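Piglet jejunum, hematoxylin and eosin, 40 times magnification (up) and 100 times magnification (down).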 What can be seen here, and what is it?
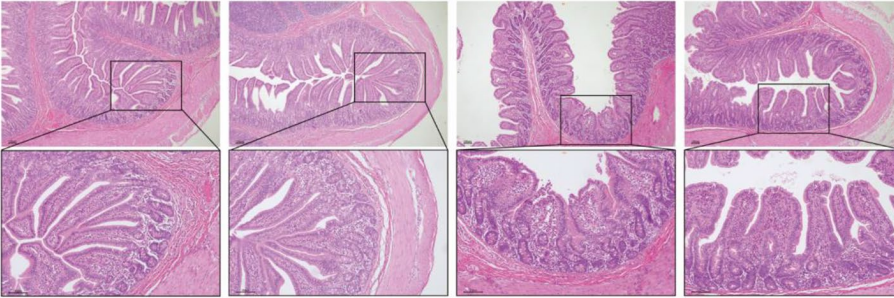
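At the bases of the villi the tissue is packed with purple-staining glandular crypts. Beneath the mucosa runs a broad, smooth pink band of muscle that forms the outer wall. The villi differ in length and spacing between the sections, some standing long and crowded and others shorter and broader.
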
